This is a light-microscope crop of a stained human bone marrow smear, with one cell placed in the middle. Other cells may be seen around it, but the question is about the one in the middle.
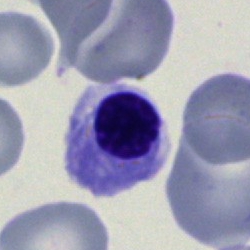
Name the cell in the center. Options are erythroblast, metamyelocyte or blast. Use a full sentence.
The cell of interest, located centrally, is an erythroblast.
